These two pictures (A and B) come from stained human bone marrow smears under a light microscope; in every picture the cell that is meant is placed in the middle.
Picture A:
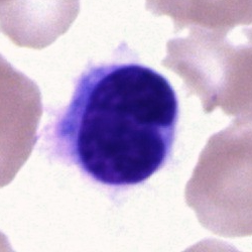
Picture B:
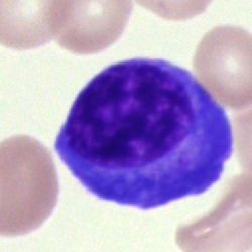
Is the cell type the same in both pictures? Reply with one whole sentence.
No, the types are not the same, since picture A shows a hairy cell and picture B a plasma cell.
